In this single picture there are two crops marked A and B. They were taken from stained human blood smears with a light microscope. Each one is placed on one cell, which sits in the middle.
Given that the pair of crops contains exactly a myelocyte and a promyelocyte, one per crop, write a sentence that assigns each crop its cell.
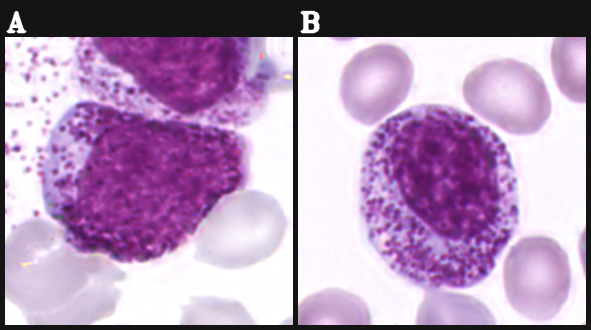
Crop A has been identified as a promyelocyte, and crop B has been identified as a myelocyte.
